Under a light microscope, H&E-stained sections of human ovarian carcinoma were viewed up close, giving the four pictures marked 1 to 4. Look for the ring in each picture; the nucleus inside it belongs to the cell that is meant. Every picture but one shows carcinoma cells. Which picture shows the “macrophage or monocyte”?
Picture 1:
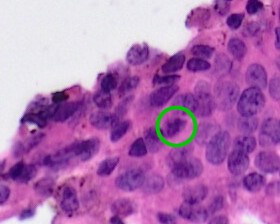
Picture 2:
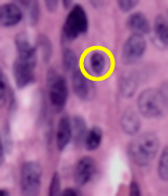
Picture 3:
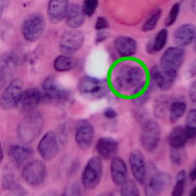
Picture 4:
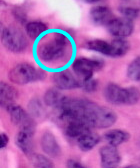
2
